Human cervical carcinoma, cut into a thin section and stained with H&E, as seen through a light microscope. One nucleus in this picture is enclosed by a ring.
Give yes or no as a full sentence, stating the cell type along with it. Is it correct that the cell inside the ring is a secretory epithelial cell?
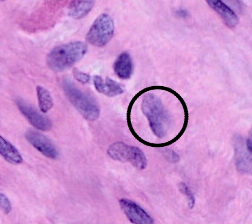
No, mate, the cell inside the ring is a fibroblast rather than a secretory epithelial cell.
